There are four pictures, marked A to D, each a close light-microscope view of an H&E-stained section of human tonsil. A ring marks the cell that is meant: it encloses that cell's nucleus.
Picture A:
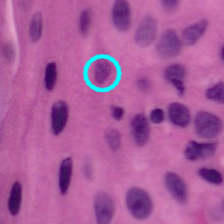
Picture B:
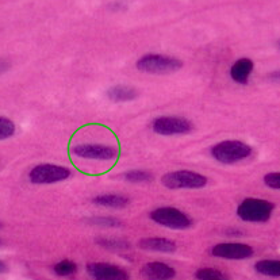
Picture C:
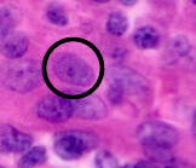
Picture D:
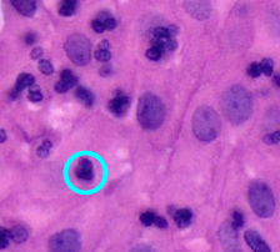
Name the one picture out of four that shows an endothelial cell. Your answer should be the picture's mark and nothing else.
C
